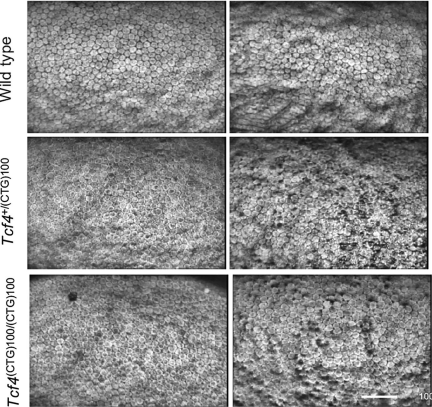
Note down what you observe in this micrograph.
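These are specular reflection views of the corneal endothelium, a single sheet of small cells seen face-on as a tightly packed mosaic. In the clearest frames the cells look like small bright, roughly polygonal tiles separated by thin dark borders, packed evenly edge to edge. In other frames the mosaic is less regular, with cell outlines harder to follow and cells of varying size and shape. Dark round spots, guttae, are scattered through several of the frames, interrupting the bright cell pattern, and they are most numerous in some of the frames on the right. Together the frames show the endothelial sheet changing from an even tiling toward a patchier surface studded with dark excrescences.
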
